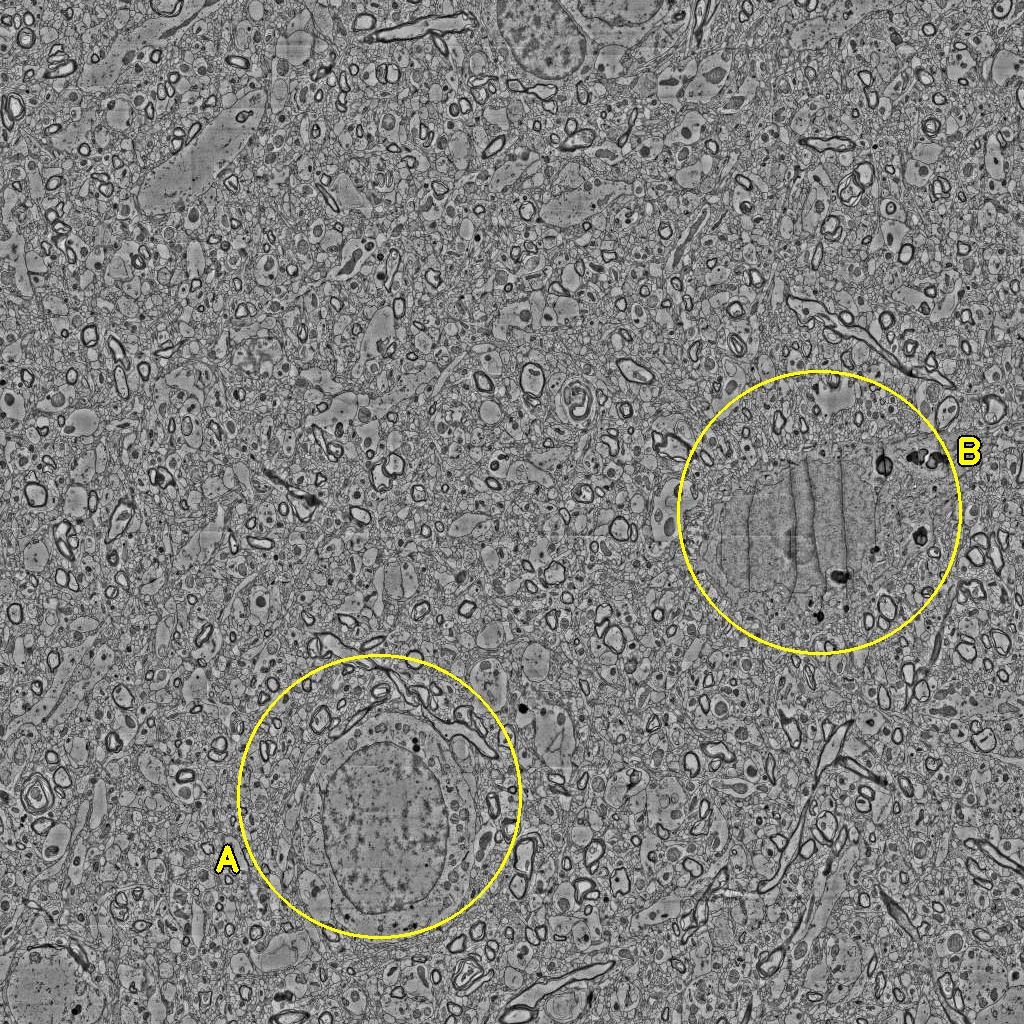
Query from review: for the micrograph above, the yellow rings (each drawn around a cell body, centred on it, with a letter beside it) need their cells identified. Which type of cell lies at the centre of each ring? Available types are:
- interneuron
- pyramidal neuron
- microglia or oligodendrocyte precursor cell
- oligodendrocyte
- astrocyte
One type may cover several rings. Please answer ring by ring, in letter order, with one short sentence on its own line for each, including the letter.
Ring A is drawn around an interneuron.
Ring B is drawn around a pyramidal neuron.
